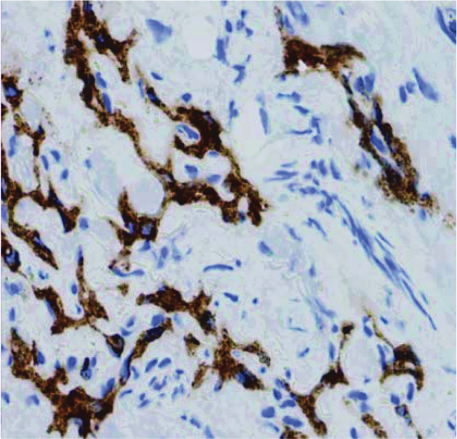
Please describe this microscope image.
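Spindle cells show strong brown staining of their cytoplasm and membranes. The stained cells are elongated and branching and join into a network around narrow, irregular, slit-like spaces. Other elongated cells with blue nuclei between the stained networks do not take up the brown stain. The background stroma is pale and fibrillar.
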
